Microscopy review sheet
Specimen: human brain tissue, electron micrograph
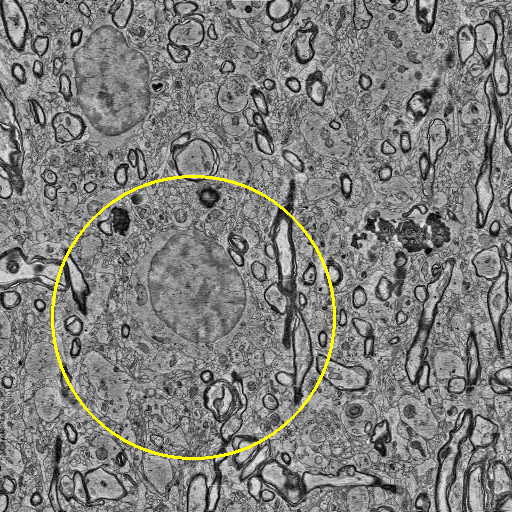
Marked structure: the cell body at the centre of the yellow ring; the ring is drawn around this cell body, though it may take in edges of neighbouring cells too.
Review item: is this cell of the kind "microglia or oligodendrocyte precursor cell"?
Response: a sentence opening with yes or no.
No, this cell is of another kind.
